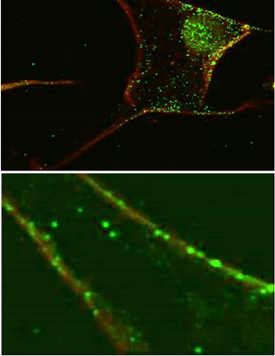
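This enlarged view shows thin processes at the margin of a cultured cell. The processes run diagonally as narrow red strands. Discrete green dots are strung along these strands, at and beside the cell edge. Where the dots coincide with the red strands the colour turns yellow-orange. Only a few dots lie in the dark background away from the processes.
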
